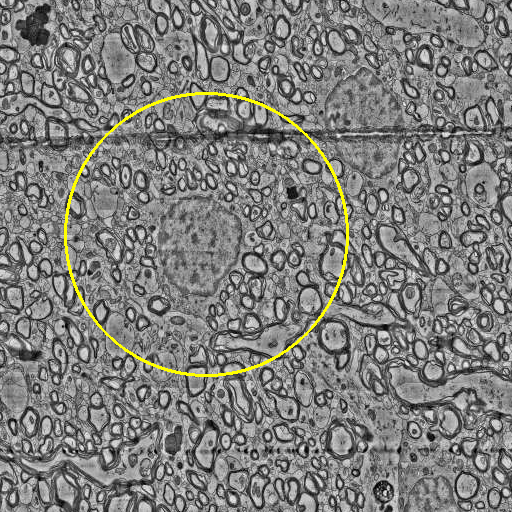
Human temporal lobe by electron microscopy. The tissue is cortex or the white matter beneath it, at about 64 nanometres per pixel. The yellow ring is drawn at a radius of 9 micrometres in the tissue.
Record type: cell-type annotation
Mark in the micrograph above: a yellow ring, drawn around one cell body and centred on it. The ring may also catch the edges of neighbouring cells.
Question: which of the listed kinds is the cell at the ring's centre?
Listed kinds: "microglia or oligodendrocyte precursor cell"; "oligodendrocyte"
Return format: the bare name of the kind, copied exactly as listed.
oligodendrocyte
